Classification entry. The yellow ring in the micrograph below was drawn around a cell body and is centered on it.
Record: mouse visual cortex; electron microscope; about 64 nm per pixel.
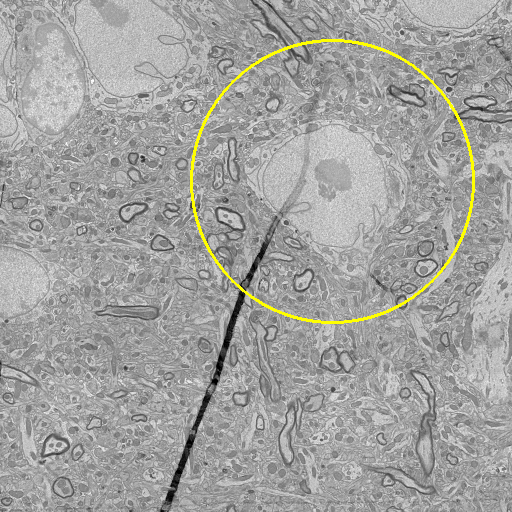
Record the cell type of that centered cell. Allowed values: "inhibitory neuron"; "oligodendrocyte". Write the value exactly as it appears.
inhibitory neuron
